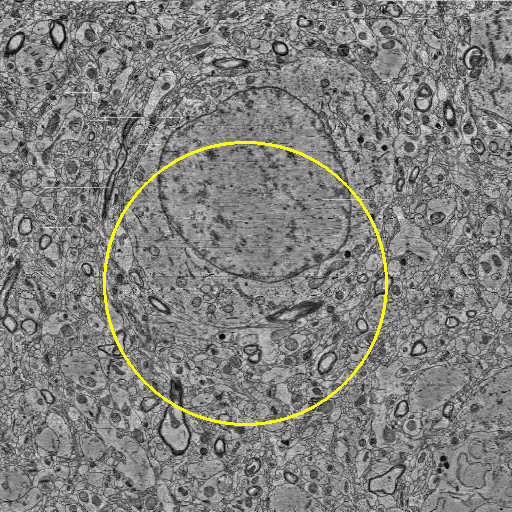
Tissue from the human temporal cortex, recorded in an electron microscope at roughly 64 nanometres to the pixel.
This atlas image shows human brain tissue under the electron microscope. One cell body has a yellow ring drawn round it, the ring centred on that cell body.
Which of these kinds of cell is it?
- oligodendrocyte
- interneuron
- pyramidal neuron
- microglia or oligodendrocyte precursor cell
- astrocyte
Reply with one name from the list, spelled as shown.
pyramidal neuron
